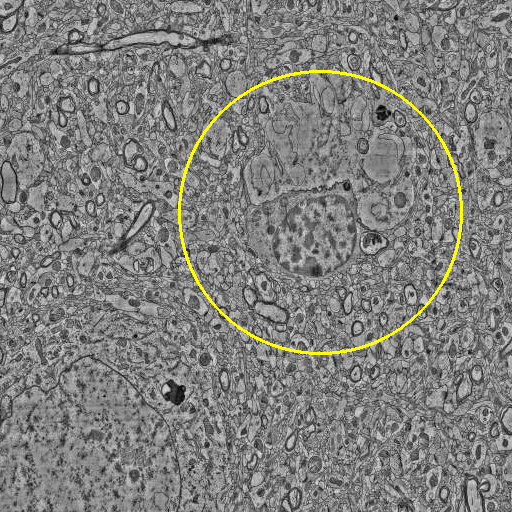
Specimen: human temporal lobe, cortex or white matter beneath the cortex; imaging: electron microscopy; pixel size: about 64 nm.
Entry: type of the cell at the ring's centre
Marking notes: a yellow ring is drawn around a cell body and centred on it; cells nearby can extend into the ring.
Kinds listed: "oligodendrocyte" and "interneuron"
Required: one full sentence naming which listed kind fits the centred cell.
My entry names an oligodendrocyte as the cell whose body the yellow ring centres on.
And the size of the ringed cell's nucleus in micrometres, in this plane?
The nucleus of the ringed cell is approximately 6 micrometres across in this plane.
